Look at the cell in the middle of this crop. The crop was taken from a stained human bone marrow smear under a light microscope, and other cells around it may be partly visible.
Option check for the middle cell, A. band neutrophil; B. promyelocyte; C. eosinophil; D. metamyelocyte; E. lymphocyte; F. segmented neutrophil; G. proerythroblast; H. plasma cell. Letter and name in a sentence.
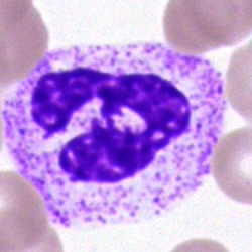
The cell at the centre, correctly named in option F, is a segmented neutrophil.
